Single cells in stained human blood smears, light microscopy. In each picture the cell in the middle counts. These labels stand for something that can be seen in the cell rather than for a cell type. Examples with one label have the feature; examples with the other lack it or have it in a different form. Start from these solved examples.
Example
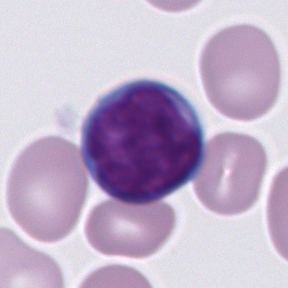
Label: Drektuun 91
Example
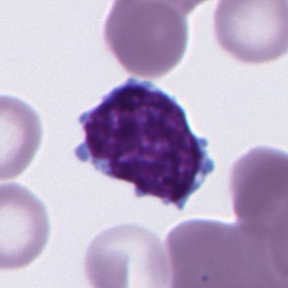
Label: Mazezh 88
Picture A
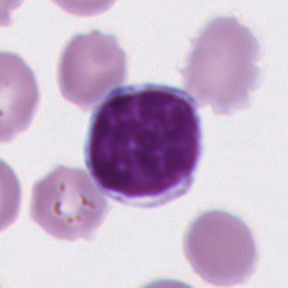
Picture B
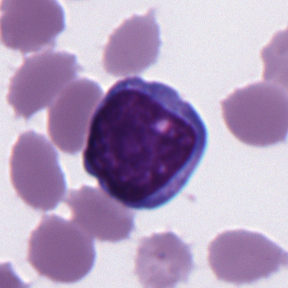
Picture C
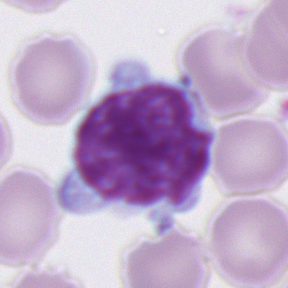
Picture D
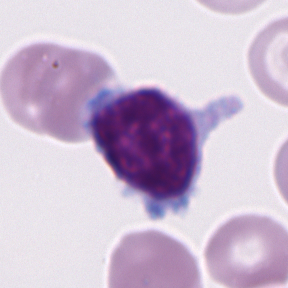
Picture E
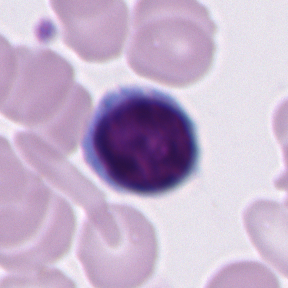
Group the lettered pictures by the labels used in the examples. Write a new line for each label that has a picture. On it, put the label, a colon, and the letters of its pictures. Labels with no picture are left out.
Drektuun 91: A, B, E
Mazezh 88: C, D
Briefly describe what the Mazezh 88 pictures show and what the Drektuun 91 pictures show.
Mazezh 88: ragged outline or projections; Drektuun 91: smooth outline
